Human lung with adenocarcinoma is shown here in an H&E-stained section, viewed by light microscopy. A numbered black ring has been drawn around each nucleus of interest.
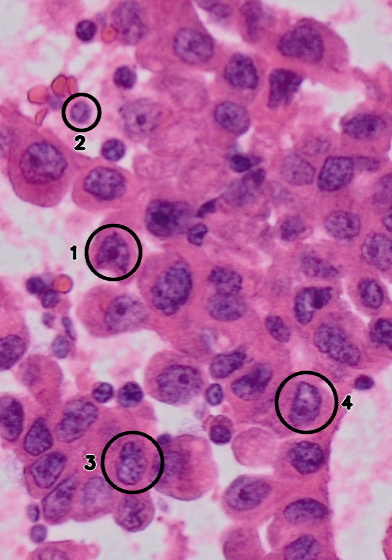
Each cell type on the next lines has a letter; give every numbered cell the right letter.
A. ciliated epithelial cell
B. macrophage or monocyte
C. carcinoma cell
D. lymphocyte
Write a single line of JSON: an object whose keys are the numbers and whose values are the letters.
{"1": "C", "2": "D", "3": "C", "4": "C"}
